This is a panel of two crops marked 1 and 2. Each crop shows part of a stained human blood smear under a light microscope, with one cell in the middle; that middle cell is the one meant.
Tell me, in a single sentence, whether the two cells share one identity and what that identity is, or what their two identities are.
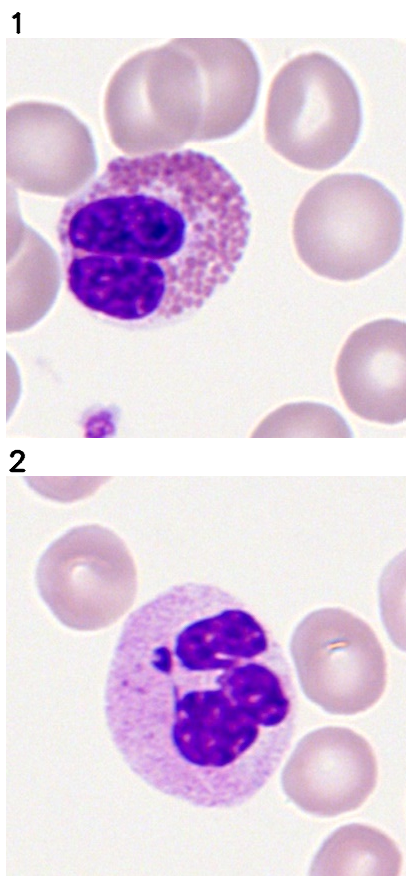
No, crop 1 represents an eosinophil, and crop 2 represents a segmented neutrophil.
